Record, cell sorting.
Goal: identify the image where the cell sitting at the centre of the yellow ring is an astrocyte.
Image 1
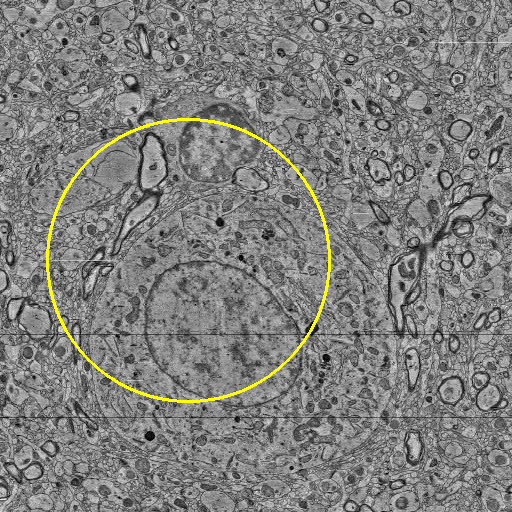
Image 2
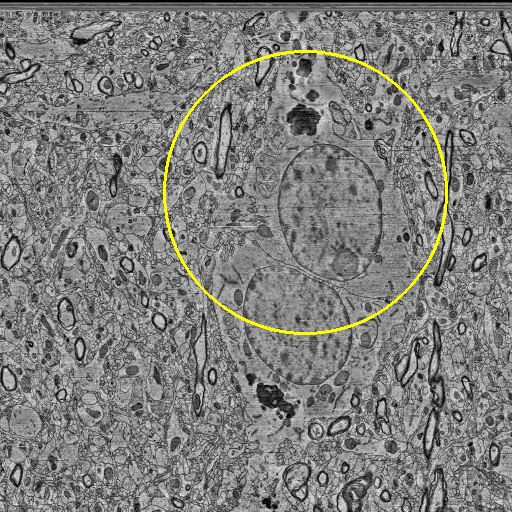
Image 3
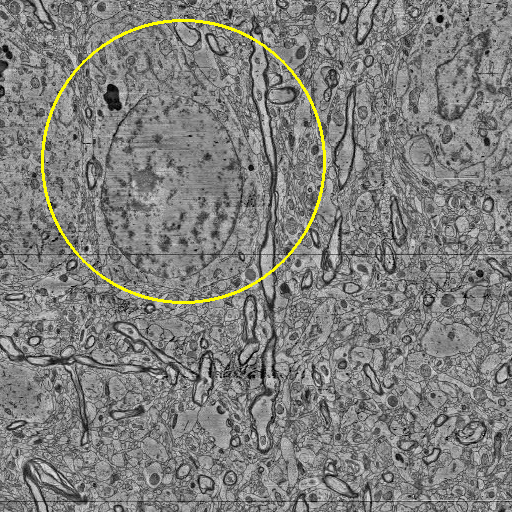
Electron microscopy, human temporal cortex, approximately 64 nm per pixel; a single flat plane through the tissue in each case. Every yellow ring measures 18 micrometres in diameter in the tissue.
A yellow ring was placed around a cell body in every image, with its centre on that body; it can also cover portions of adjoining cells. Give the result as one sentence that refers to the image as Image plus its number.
Image 2 shows the requested cell sitting right at the centre of its ring.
